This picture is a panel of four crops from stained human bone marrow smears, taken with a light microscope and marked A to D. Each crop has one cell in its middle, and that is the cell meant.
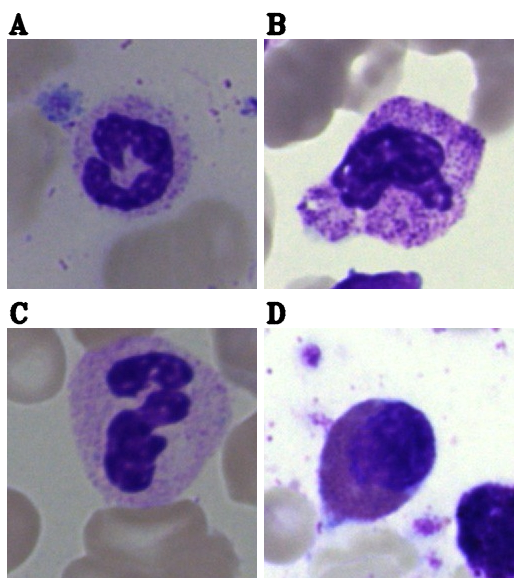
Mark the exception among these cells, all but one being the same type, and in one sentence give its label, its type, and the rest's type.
Crop D is an eosinophil, unlike the other crops, which all show segmented neutrophils.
